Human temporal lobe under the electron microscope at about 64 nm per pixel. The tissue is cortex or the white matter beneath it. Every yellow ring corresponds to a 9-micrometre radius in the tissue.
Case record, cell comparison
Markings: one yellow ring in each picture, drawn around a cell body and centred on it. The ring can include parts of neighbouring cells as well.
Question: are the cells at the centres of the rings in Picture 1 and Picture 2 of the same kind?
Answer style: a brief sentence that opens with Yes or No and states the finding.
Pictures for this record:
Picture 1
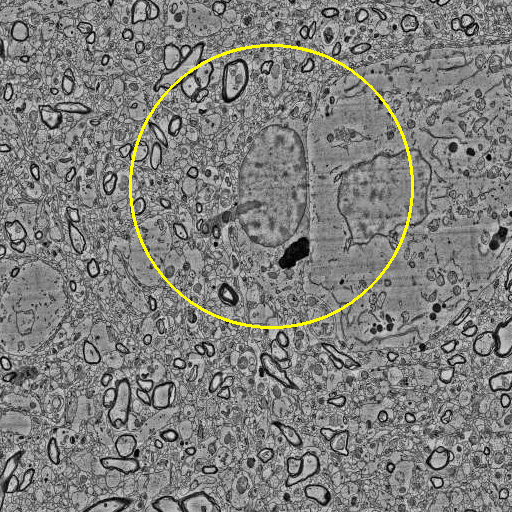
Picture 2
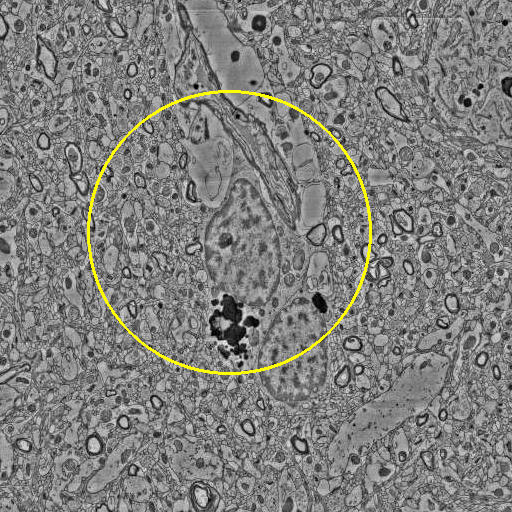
Yes, the cells in Picture 1 and Picture 2 are of the same kind.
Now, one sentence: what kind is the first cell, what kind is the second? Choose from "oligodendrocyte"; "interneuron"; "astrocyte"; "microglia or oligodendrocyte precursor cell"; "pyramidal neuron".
Each of the two rings surrounds an oligodendrocyte.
